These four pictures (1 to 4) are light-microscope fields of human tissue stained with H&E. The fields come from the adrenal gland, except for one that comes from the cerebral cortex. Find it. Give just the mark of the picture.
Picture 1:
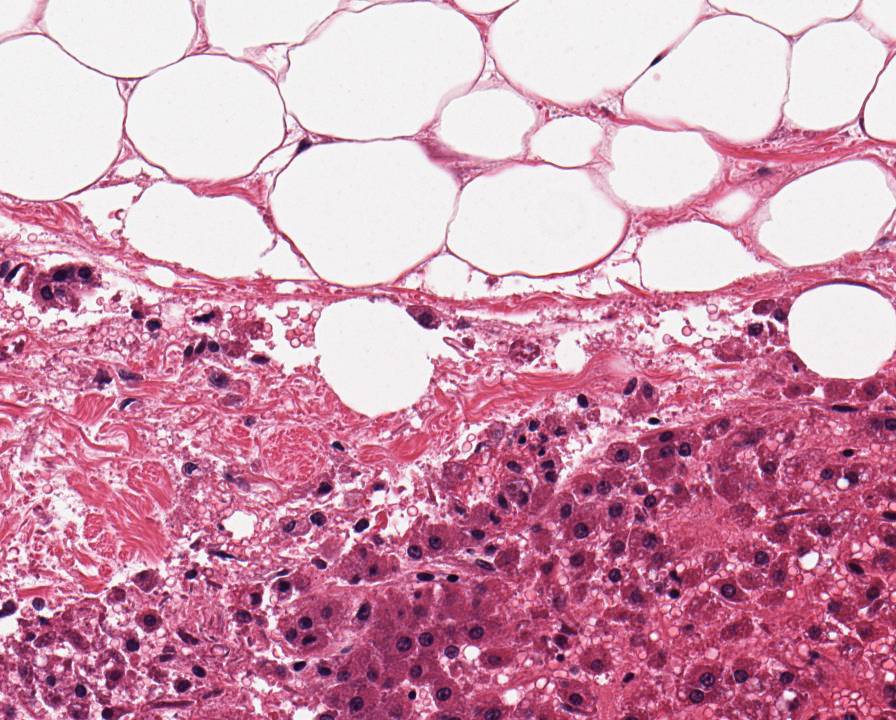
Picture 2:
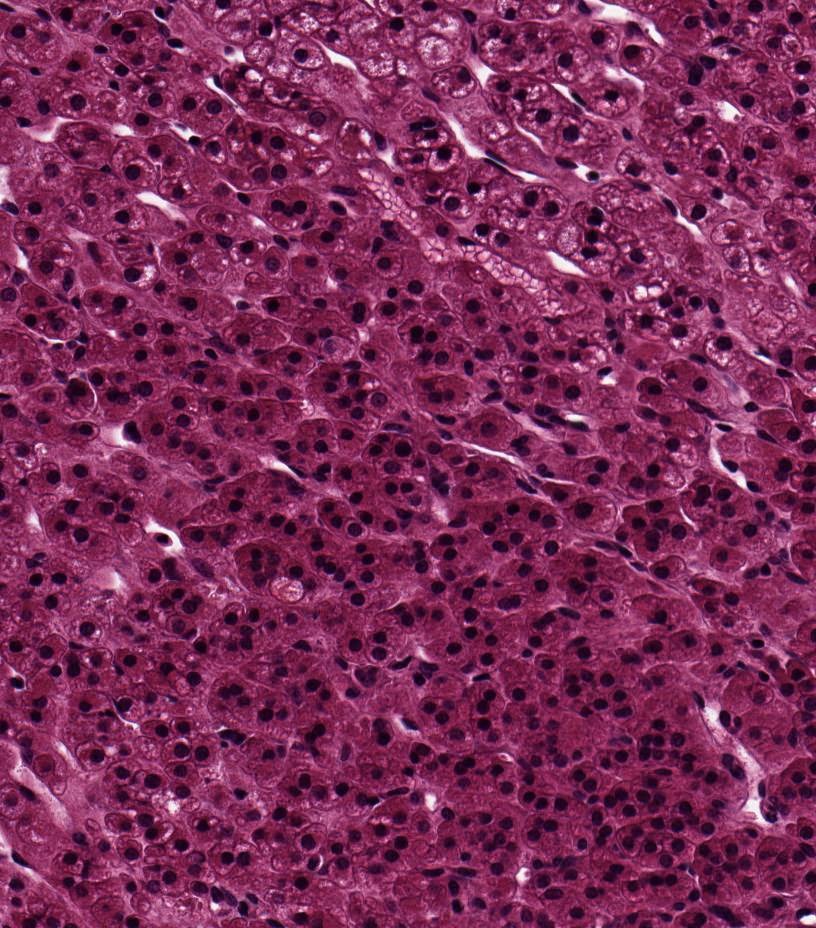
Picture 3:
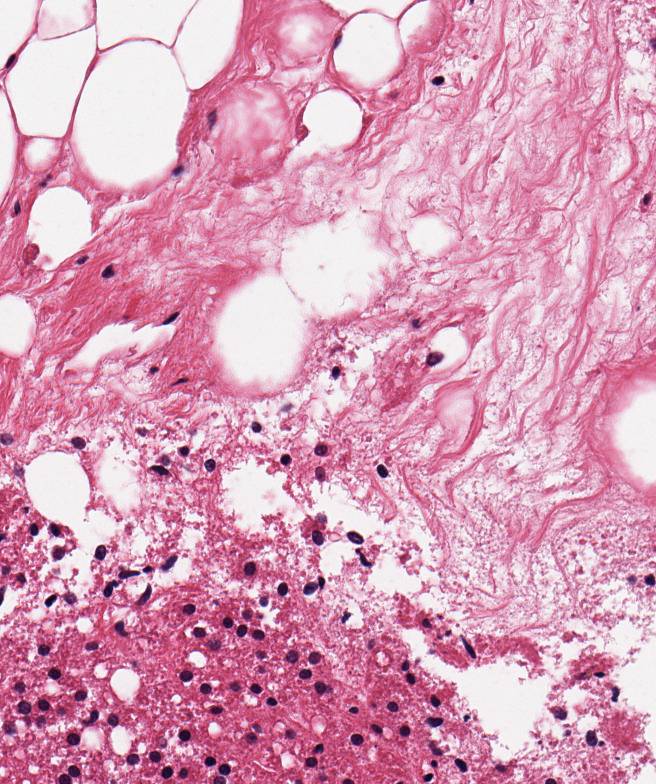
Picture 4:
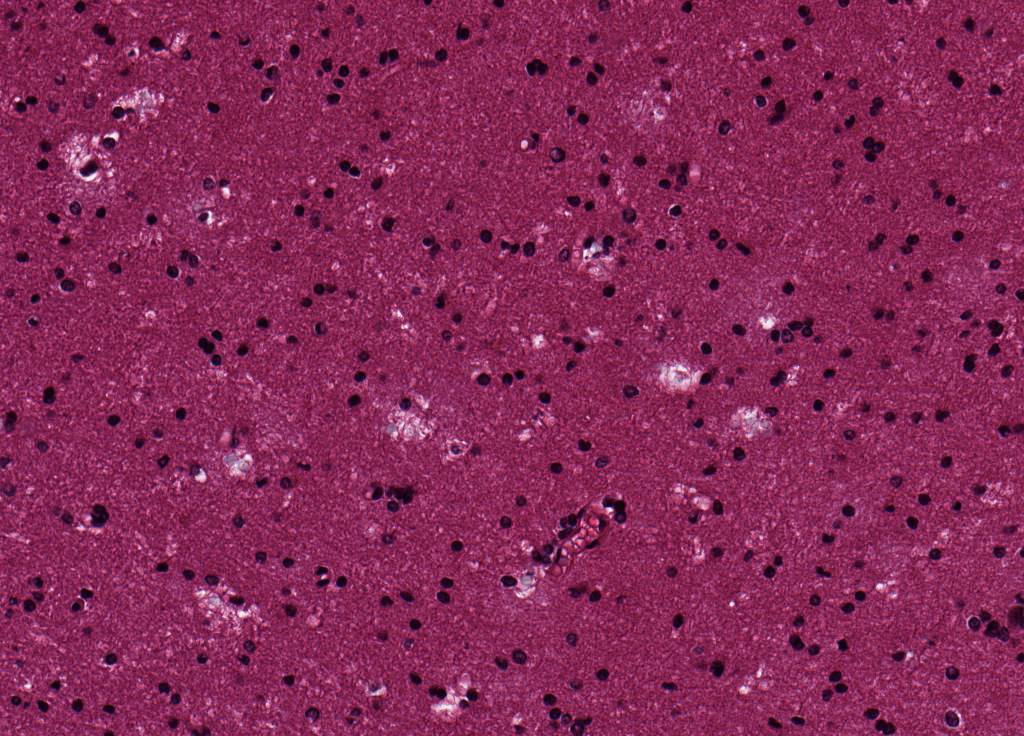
4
